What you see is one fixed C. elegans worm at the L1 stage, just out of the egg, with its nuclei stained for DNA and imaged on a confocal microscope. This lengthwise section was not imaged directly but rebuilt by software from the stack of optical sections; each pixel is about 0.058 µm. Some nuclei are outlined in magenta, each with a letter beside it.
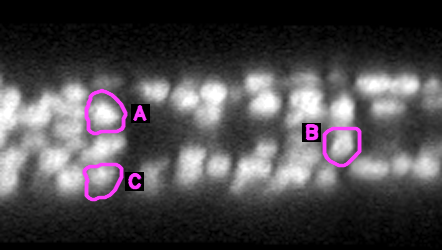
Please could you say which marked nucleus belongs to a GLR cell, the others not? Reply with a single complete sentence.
Of the marked nuclei, A is the one in a GLR cell.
